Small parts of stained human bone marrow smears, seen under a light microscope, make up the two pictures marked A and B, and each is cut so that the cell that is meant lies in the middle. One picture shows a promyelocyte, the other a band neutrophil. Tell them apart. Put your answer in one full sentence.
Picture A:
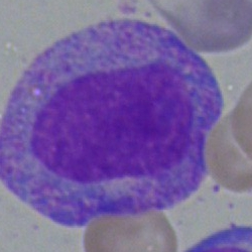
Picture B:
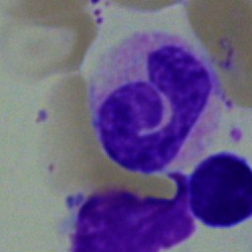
Picture B shows a band neutrophil, while picture A shows a promyelocyte.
